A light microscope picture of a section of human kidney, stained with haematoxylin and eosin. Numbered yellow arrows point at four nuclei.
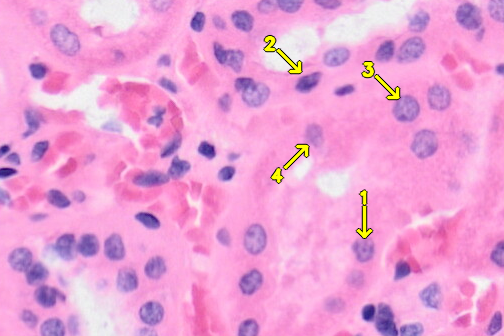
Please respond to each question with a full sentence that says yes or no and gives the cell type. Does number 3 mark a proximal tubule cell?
Yes, the cell with the mark numbered 3 is a proximal tubule cell.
